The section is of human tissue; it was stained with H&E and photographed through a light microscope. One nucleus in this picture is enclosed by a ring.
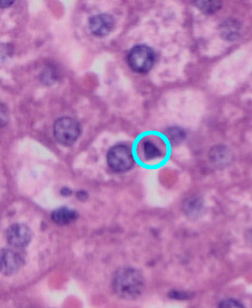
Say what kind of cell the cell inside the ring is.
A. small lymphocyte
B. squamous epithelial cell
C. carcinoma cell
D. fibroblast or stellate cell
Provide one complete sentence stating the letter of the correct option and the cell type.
The correct response is option D: the cell inside the ring is a fibroblast or stellate cell.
